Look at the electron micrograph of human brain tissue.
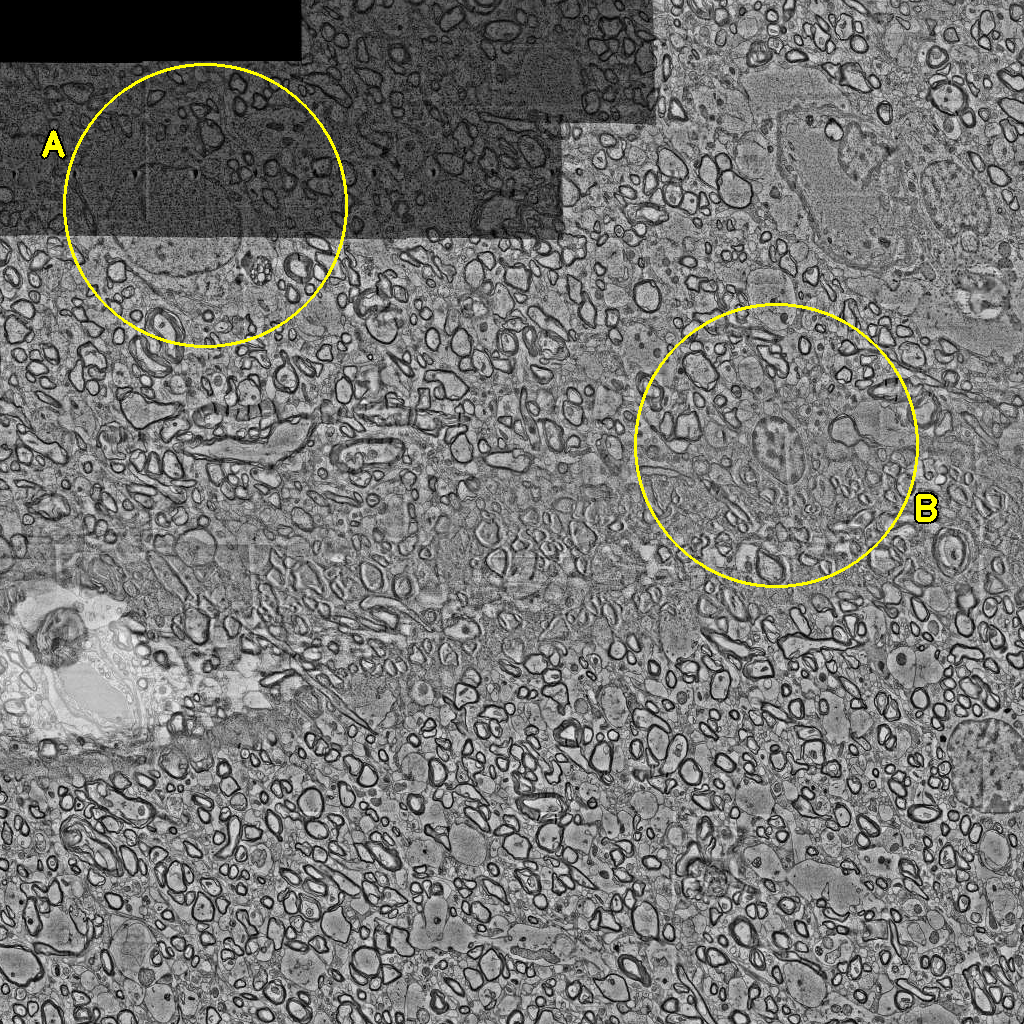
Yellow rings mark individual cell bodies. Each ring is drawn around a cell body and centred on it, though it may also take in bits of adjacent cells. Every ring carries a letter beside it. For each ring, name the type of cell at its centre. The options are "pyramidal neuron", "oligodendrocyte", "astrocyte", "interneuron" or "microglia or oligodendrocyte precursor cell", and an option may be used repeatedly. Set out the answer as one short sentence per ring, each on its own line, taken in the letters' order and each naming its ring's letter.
Ring A is drawn around an astrocyte.
Ring B is drawn around a microglial cell or oligodendrocyte precursor cell.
